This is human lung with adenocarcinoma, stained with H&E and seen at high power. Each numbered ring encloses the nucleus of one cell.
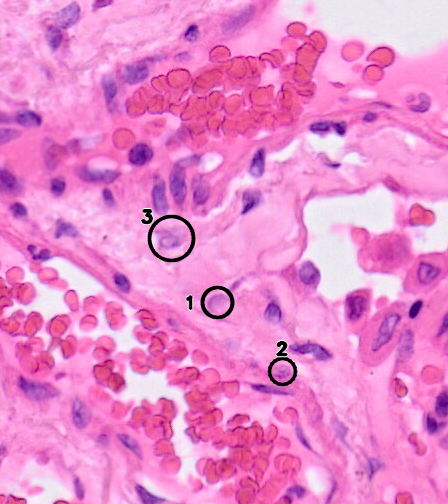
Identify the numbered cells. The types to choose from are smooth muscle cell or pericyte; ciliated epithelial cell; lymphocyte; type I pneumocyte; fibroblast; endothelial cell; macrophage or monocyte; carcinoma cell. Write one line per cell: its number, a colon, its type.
1: fibroblast
2: smooth muscle cell or pericyte
3: fibroblast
